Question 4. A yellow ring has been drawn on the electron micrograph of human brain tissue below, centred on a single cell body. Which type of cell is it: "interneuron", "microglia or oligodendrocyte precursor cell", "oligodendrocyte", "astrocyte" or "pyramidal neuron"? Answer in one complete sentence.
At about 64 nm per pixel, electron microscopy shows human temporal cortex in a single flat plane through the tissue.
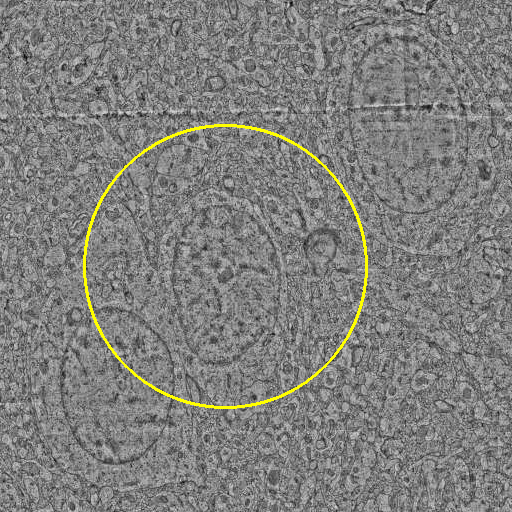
This cell body belongs to an interneuron.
